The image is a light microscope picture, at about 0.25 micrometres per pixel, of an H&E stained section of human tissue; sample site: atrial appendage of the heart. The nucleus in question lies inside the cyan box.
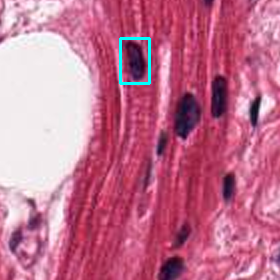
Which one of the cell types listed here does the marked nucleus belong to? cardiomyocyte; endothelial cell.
cardiomyocyte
